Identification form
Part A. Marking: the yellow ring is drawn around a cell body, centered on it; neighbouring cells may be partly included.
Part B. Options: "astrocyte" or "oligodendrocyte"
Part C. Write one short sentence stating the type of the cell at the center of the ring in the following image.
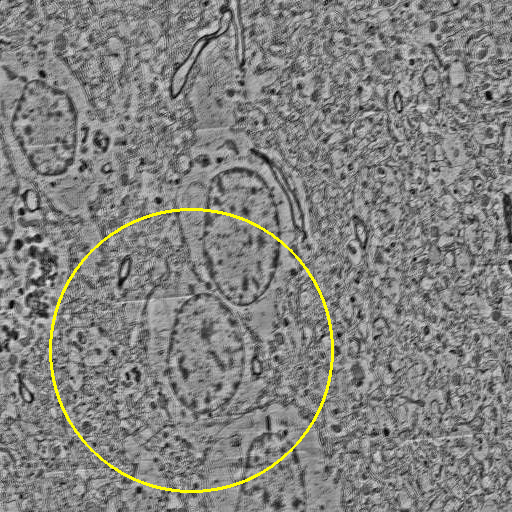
The center of the ring holds an astrocyte.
